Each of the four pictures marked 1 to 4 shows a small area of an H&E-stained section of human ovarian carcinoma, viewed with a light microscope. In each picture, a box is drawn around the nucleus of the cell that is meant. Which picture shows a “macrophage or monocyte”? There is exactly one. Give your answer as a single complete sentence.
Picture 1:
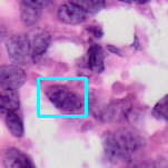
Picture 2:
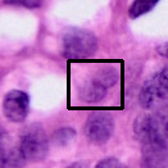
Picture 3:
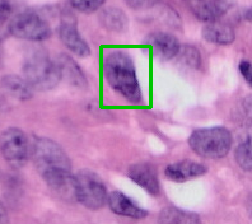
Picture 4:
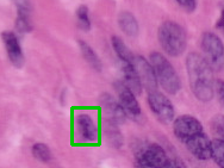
The “macrophage or monocyte” is the one in picture 4.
